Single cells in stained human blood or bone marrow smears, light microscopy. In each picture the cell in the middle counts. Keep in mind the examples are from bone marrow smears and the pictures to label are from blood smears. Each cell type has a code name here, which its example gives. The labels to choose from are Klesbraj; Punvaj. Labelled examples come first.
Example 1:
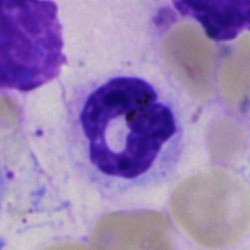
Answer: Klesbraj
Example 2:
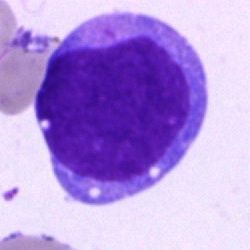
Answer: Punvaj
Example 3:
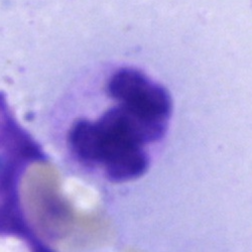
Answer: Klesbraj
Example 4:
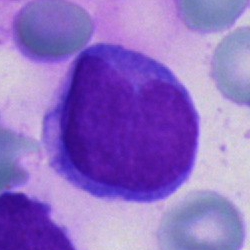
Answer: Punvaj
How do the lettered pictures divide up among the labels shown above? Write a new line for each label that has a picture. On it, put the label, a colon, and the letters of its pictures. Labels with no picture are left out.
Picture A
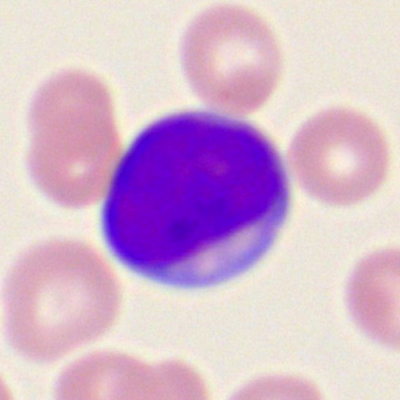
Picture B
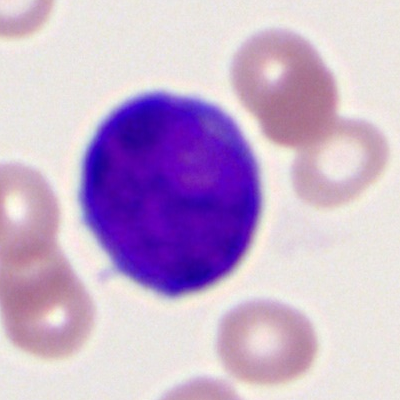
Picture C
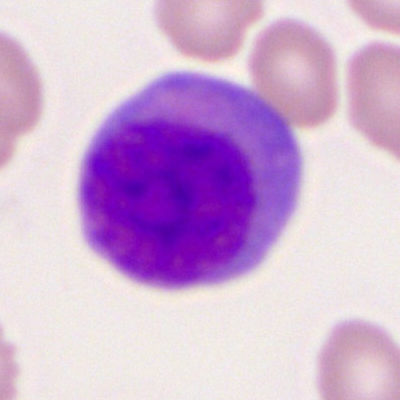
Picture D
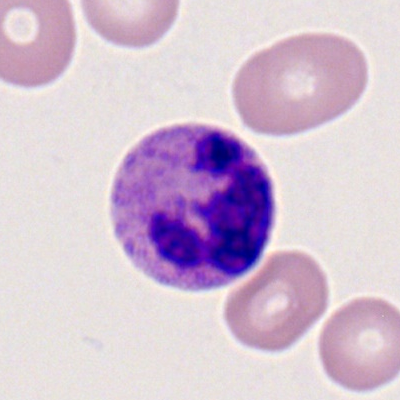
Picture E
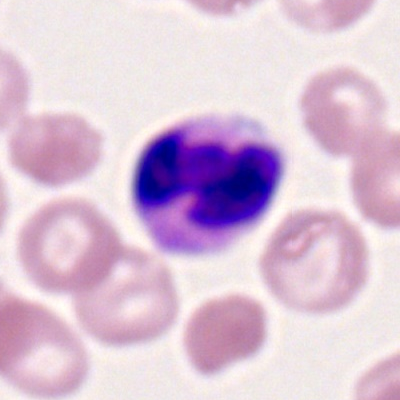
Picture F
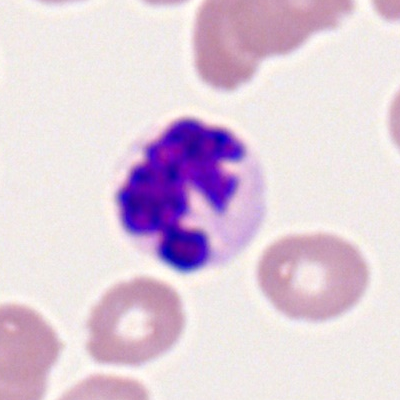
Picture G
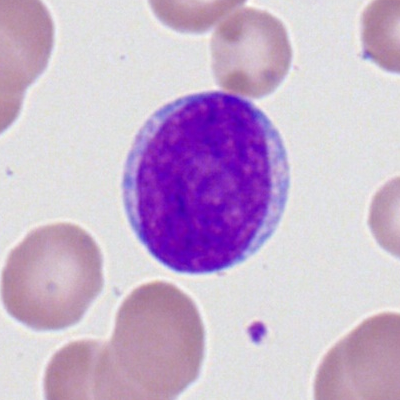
Klesbraj: D, E, F
Punvaj: A, B, C, G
